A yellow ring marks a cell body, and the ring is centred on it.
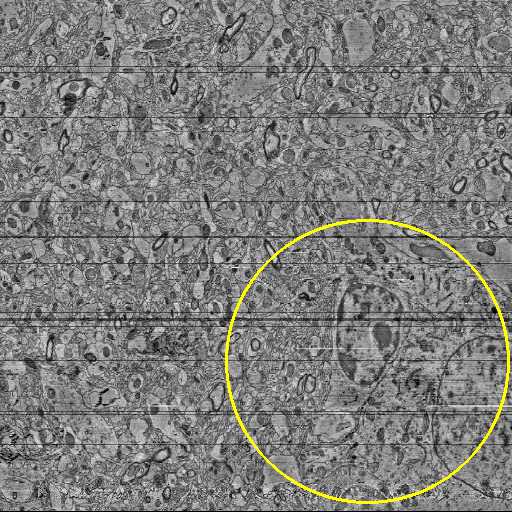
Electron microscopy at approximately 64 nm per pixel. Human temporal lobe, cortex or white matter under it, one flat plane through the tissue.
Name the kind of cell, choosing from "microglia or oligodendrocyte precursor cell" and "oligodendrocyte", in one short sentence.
The marked cell body belongs to a microglial cell or oligodendrocyte precursor cell.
